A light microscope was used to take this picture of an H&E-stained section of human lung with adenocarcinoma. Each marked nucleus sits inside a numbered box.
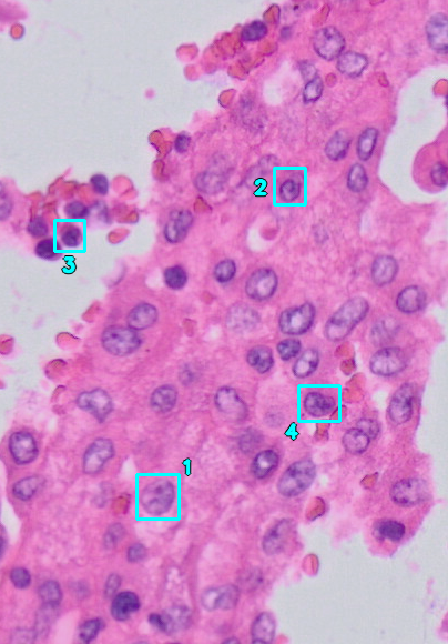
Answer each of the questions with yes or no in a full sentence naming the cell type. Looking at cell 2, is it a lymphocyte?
No, cell 2 is to be read as a macrophage or monocyte, not a lymphocyte.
